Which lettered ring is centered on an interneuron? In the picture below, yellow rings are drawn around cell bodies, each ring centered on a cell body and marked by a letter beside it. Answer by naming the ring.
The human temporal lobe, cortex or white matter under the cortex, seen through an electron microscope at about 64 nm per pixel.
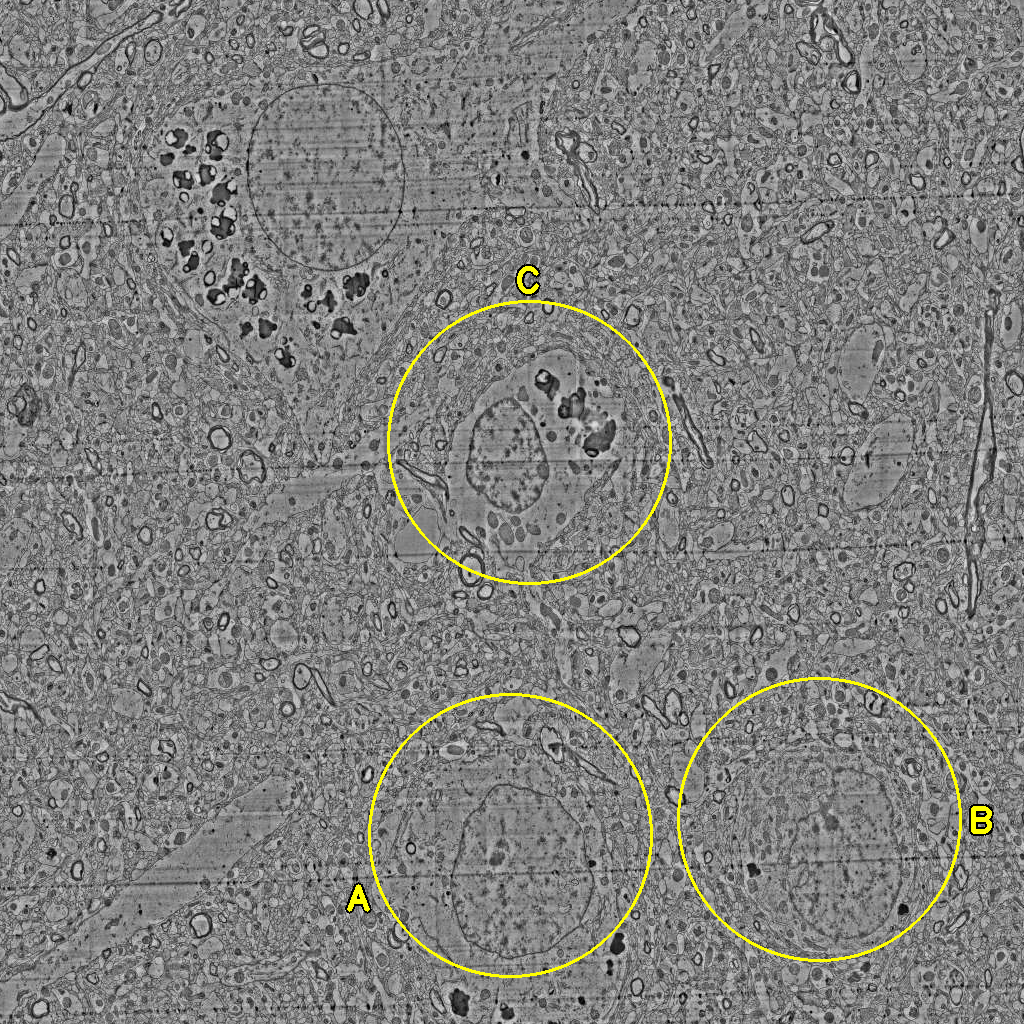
Ring B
